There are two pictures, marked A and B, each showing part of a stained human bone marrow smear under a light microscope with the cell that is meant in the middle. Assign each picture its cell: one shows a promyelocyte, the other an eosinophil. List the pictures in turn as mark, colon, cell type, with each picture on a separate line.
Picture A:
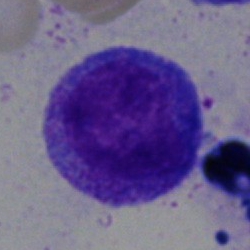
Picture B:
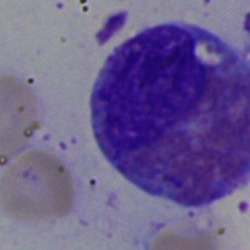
A: promyelocyte
B: eosinophil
